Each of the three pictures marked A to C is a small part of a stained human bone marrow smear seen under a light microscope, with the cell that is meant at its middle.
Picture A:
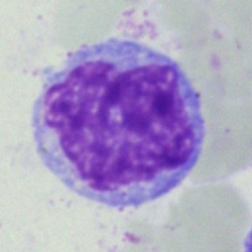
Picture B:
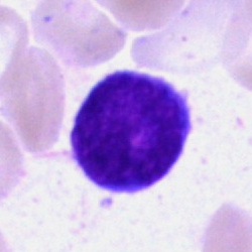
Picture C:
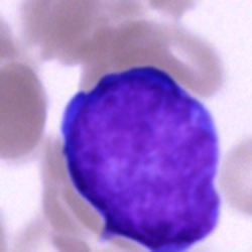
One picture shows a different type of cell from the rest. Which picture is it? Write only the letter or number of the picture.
A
